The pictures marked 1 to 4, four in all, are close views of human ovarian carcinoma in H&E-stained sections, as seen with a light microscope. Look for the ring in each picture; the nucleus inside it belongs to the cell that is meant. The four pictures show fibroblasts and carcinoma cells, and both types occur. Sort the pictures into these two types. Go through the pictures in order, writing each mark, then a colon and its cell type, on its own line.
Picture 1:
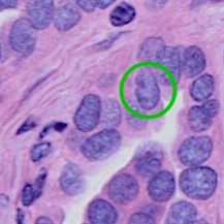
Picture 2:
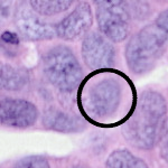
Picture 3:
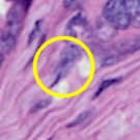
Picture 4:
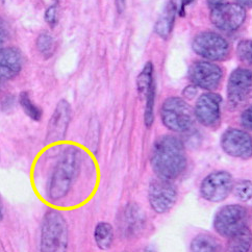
1: carcinoma cell
2: carcinoma cell
3: fibroblast
4: fibroblast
